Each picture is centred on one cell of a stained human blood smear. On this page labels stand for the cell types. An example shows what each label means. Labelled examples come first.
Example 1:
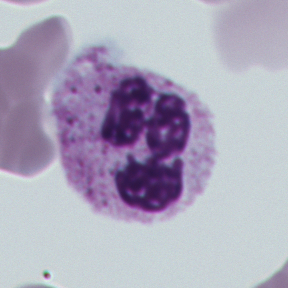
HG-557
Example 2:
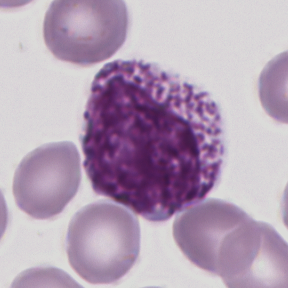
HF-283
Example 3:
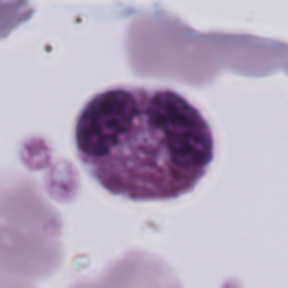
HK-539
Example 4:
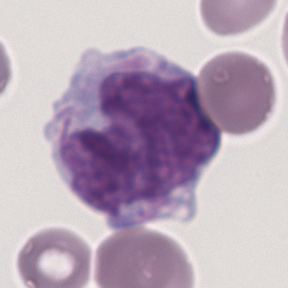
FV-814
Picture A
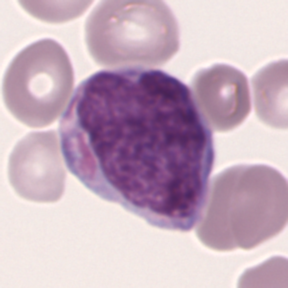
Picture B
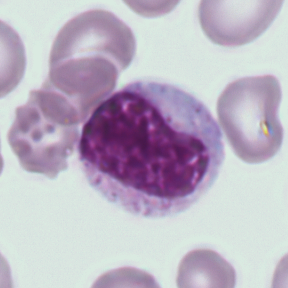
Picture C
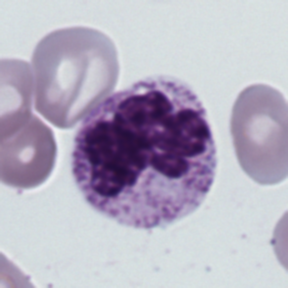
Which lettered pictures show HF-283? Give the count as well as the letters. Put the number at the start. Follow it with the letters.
1, namely B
